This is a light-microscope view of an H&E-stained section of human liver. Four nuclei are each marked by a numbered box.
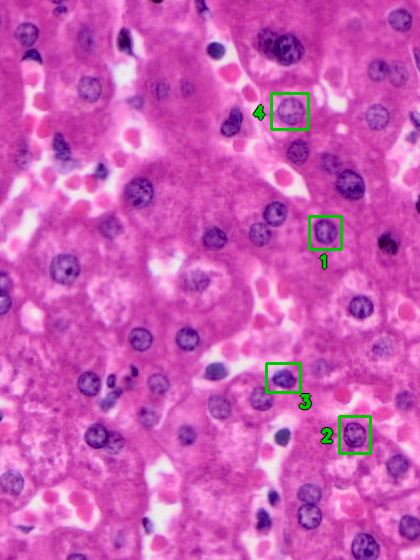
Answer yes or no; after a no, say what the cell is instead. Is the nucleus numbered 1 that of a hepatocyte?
Yes.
